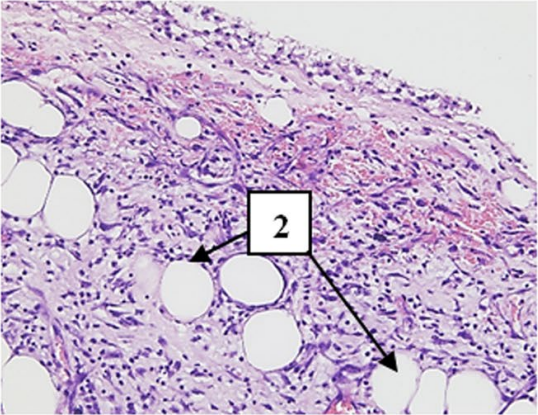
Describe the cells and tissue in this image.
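Large round empty clear spaces are scattered among the cells. A thin, loosely arranged pink layer lies at the upper surface.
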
